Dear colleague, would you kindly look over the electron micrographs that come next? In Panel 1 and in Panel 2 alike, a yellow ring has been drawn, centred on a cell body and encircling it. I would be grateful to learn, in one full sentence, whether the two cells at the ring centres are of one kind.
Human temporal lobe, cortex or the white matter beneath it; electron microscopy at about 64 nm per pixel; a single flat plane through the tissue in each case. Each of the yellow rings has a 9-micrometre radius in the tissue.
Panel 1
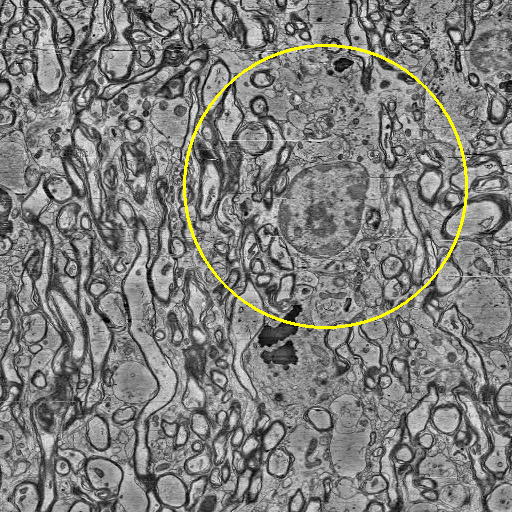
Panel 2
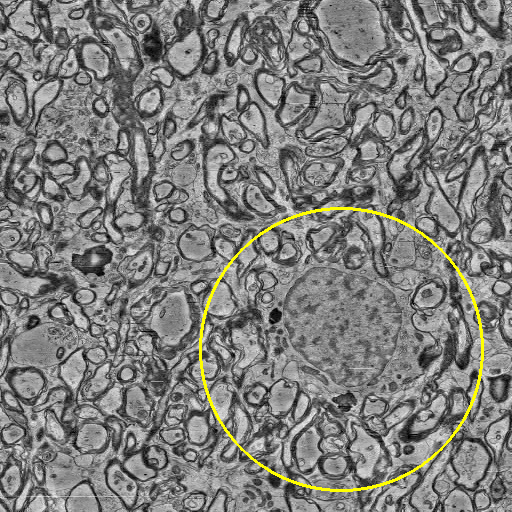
No, the cells in the middle of the rings in the two panels are of two kinds.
